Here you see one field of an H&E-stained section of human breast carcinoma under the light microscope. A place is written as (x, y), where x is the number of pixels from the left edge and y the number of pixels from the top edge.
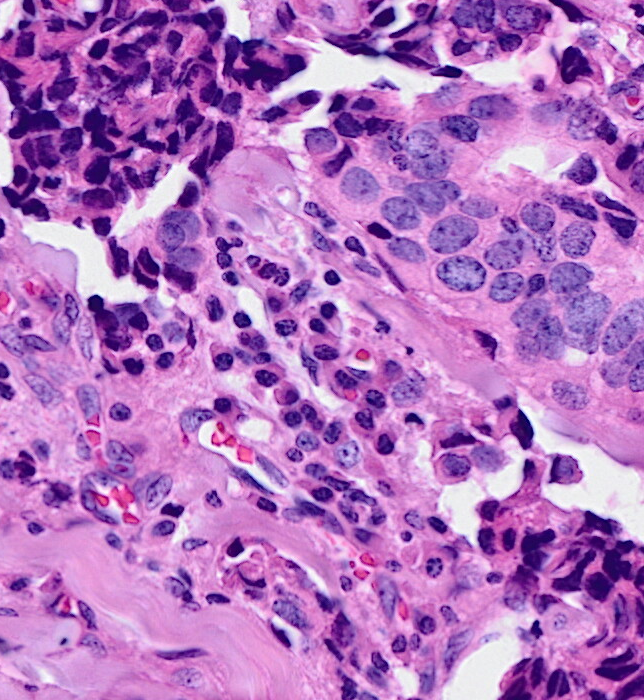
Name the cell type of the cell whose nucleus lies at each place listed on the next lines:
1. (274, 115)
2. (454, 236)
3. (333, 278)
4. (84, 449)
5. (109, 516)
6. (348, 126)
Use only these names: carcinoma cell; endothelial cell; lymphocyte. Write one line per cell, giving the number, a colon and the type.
1: carcinoma cell
2: carcinoma cell
3: lymphocyte
4: endothelial cell
5: endothelial cell
6: carcinoma cell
